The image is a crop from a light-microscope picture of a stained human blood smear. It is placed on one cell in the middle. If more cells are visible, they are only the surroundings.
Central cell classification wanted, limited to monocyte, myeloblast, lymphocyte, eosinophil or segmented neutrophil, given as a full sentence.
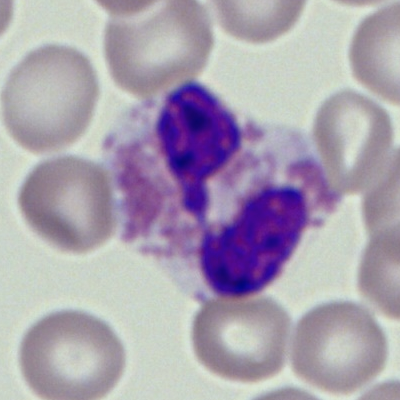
What sits at the centre of this crop is an eosinophil.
